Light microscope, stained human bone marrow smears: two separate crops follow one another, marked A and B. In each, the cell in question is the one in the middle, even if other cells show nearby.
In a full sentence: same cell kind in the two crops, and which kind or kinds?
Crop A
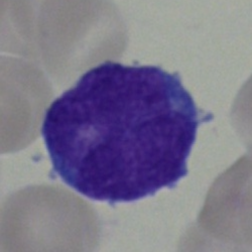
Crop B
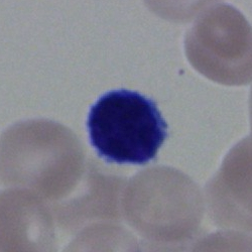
No, crop A presents a blast, whereas crop B presents a lymphocyte.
